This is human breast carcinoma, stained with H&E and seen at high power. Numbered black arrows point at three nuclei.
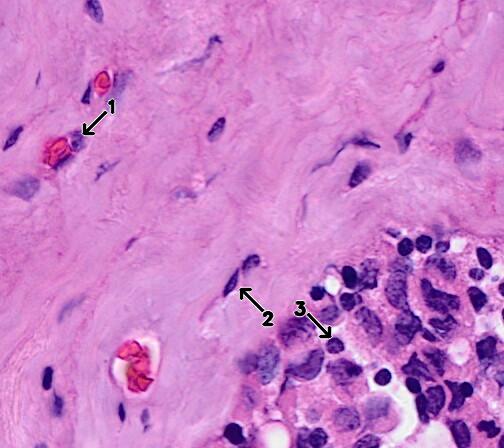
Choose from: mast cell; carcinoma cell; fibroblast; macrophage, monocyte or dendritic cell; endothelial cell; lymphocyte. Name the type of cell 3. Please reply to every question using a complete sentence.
The identity of cell 3 is that of a lymphocyte.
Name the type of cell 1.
The marked nucleus 1 is that of an endothelial cell.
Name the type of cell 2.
The cell indicated with the number 2 is classed as a fibroblast.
